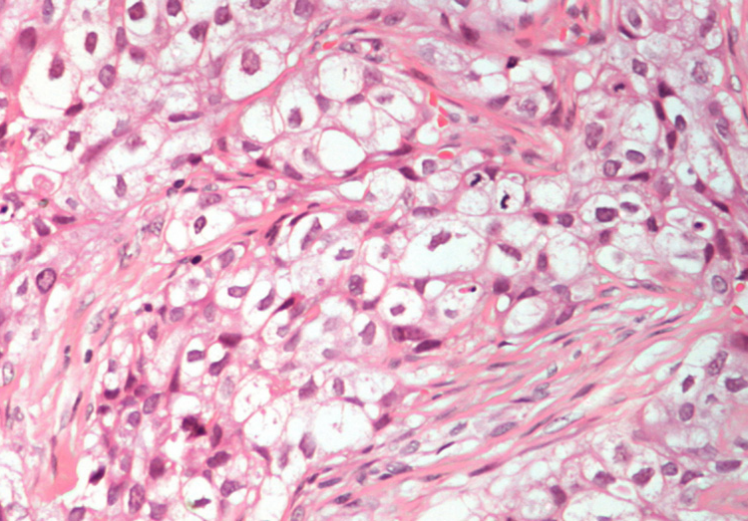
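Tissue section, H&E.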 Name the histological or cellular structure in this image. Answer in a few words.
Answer: connective tissue septa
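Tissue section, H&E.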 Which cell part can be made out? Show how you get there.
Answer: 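Clear cytoplasm. Most tumour cells have pale, nearly empty-looking cytoplasm. Cell borders are thin pink lines around clear spaces. Nuclei lie within the clear cytoplasm, often pushed to one side.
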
